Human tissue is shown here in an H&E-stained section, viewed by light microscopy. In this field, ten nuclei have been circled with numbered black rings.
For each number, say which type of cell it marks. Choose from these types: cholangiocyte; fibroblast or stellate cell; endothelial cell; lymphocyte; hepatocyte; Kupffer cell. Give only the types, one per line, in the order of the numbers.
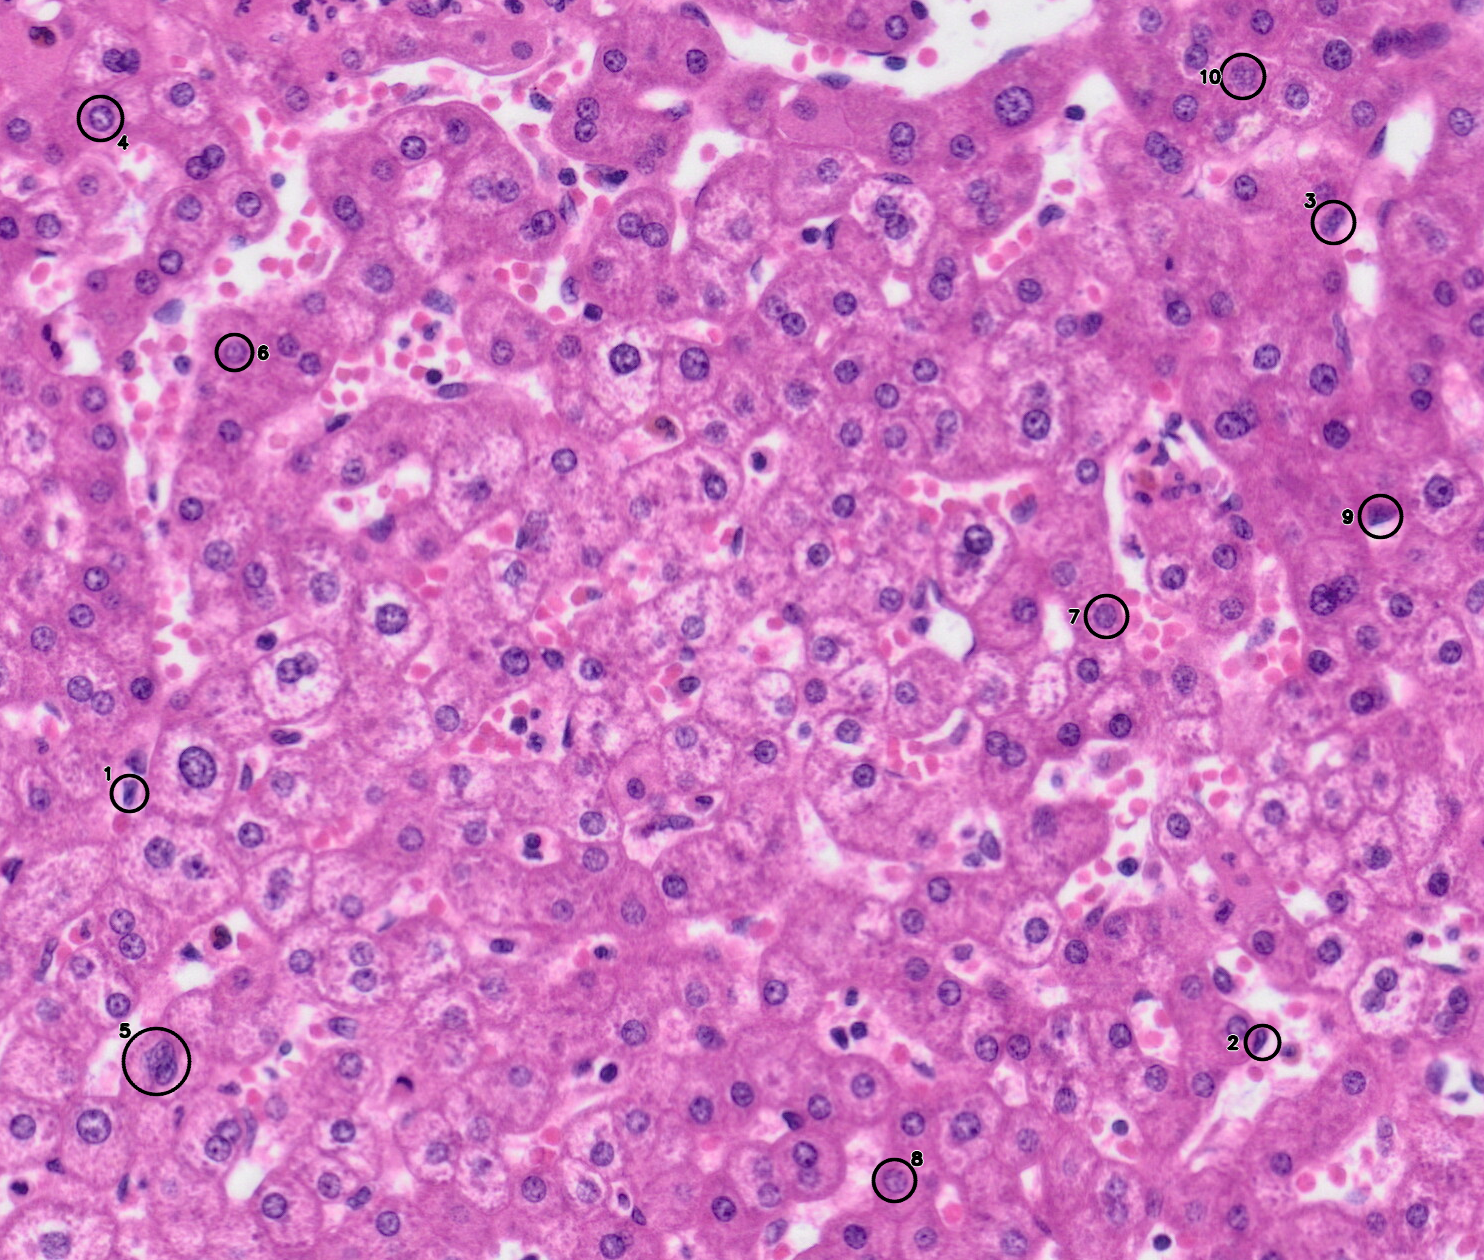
lymphocyte
fibroblast or stellate cell
fibroblast or stellate cell
hepatocyte
hepatocyte
hepatocyte
hepatocyte
hepatocyte
endothelial cell
hepatocyte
